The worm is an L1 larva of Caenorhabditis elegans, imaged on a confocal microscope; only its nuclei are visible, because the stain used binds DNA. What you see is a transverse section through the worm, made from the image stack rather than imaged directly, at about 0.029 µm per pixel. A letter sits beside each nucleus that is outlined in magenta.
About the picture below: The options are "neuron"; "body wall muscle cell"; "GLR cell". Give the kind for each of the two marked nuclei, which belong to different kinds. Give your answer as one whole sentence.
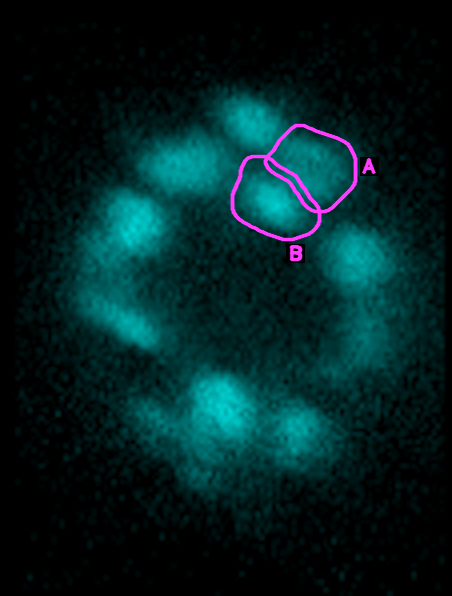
Nucleus A comes from a body wall muscle cell and nucleus B from a GLR cell.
